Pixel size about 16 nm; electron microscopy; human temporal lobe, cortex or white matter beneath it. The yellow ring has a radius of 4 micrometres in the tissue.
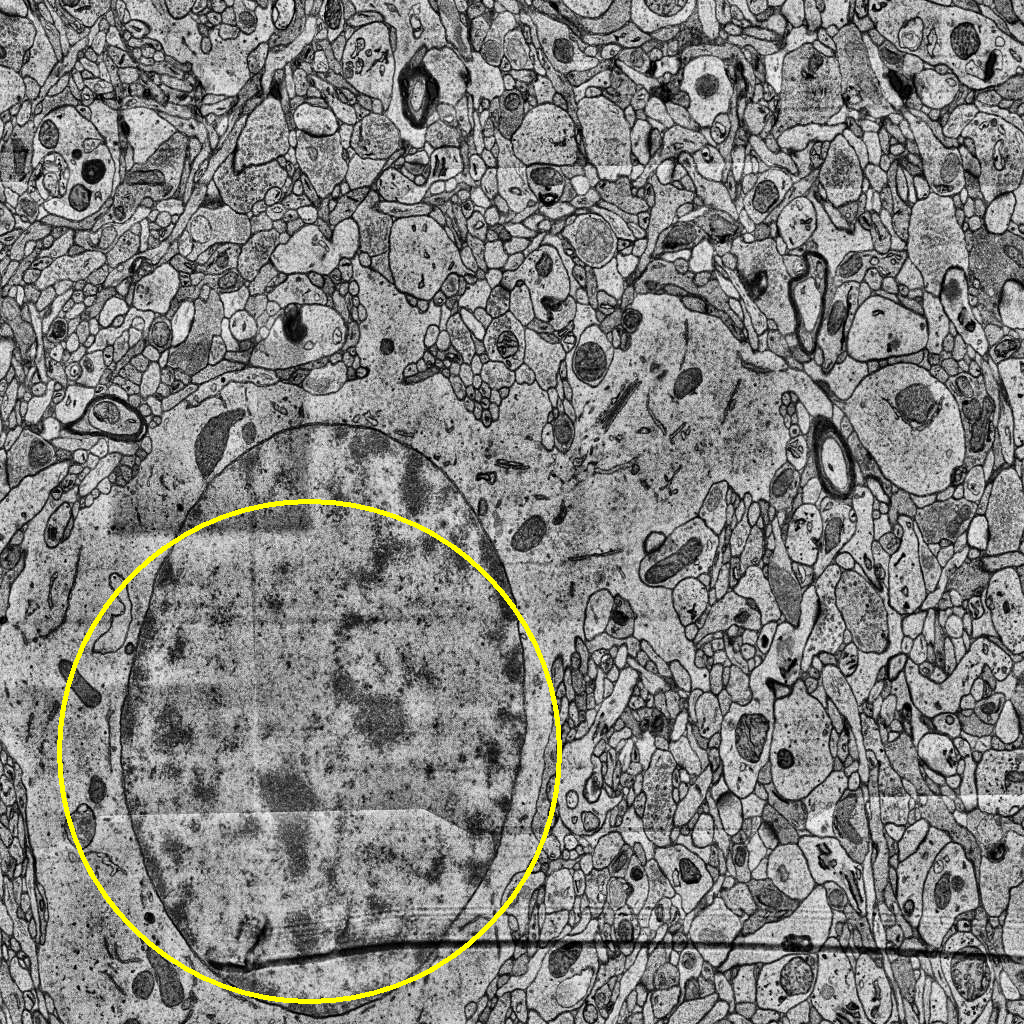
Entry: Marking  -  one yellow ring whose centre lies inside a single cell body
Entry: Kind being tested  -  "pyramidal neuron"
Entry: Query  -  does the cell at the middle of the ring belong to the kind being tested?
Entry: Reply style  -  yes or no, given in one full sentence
No, the cell at the middle of the ring in the picture belongs to a different kind.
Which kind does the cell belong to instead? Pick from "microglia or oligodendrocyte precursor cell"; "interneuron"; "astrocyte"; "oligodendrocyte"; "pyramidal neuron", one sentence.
What the ring encloses here is an astrocyte.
